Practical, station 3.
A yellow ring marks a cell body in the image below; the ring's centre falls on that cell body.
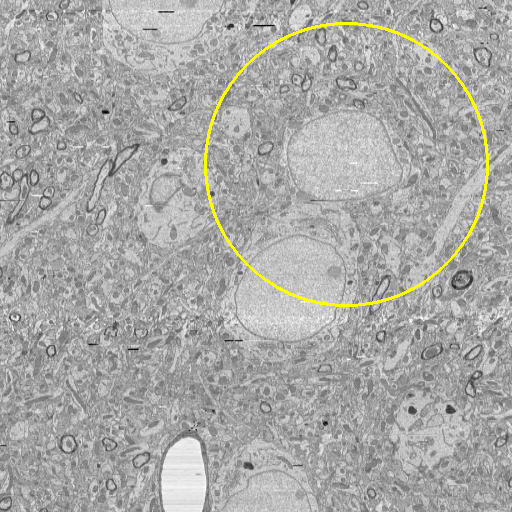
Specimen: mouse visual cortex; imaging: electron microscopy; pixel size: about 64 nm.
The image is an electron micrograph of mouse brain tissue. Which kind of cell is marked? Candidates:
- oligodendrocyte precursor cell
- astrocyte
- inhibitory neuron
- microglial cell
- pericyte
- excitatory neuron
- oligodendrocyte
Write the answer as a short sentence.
The marked cell body is that of an astrocyte.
